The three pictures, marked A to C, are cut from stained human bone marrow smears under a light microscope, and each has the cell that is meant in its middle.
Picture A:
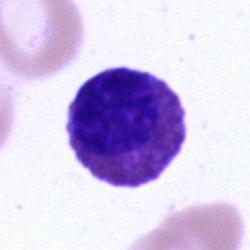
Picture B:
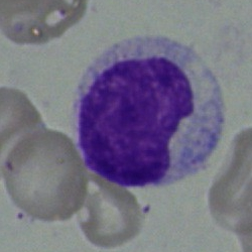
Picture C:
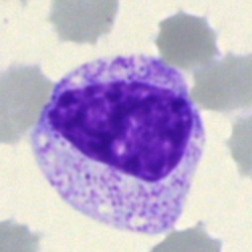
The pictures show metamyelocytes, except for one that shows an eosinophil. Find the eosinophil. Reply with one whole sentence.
The eosinophil is the one in picture A.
